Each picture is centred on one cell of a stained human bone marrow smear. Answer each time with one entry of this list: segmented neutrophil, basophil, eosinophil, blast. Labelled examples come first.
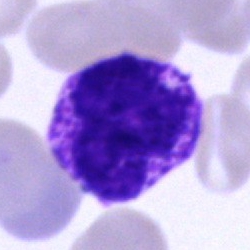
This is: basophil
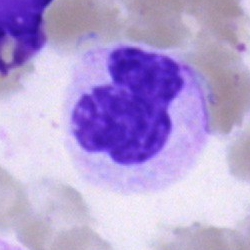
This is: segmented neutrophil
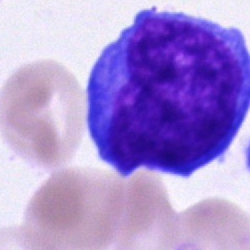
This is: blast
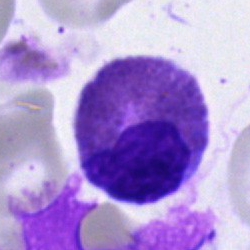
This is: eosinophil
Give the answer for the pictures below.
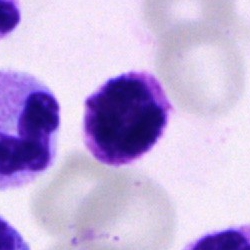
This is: basophil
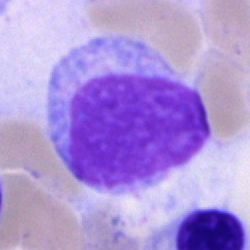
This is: blast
